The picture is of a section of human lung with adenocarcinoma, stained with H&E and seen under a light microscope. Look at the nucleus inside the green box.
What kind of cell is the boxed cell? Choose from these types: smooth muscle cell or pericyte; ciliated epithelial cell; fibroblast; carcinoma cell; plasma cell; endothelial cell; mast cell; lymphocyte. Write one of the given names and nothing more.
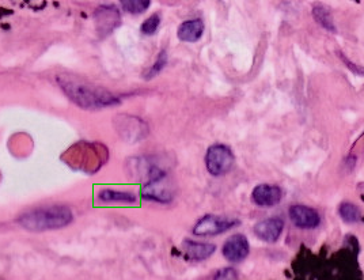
endothelial cell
